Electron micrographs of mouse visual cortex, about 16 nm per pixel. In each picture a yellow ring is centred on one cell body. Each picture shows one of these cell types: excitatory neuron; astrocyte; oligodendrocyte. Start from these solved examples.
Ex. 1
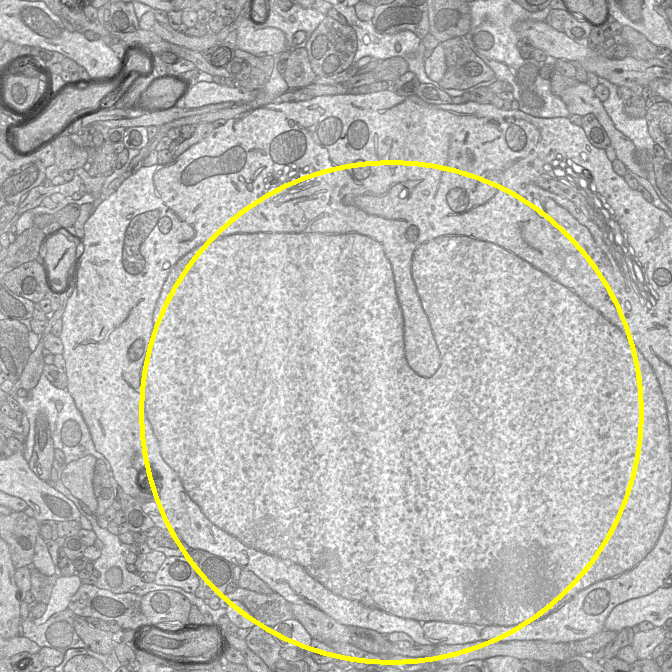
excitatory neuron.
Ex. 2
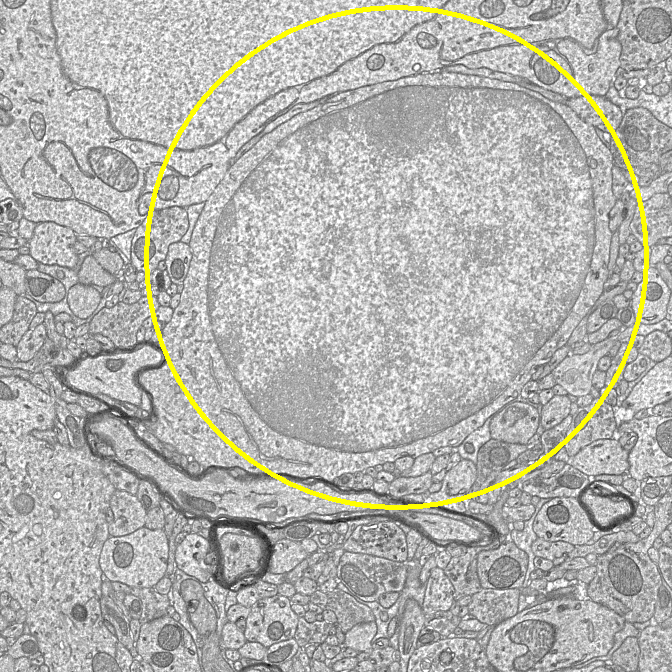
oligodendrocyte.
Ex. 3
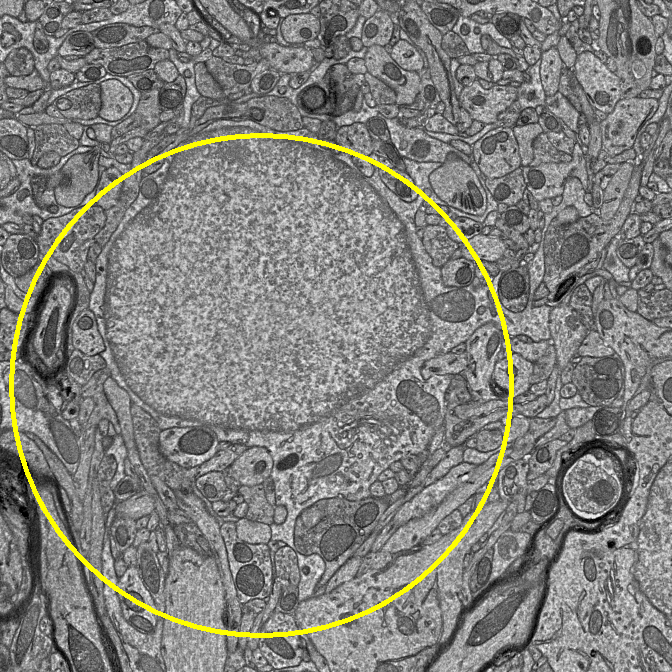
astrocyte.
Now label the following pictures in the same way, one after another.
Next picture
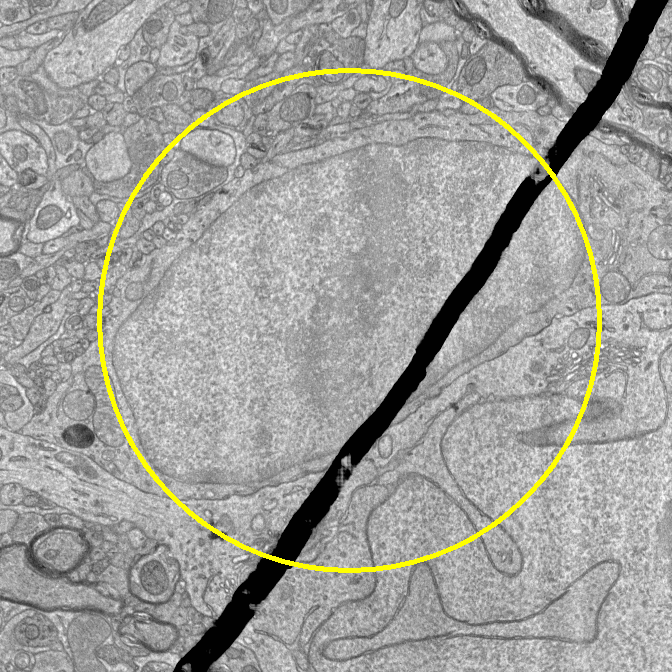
oligodendrocyte.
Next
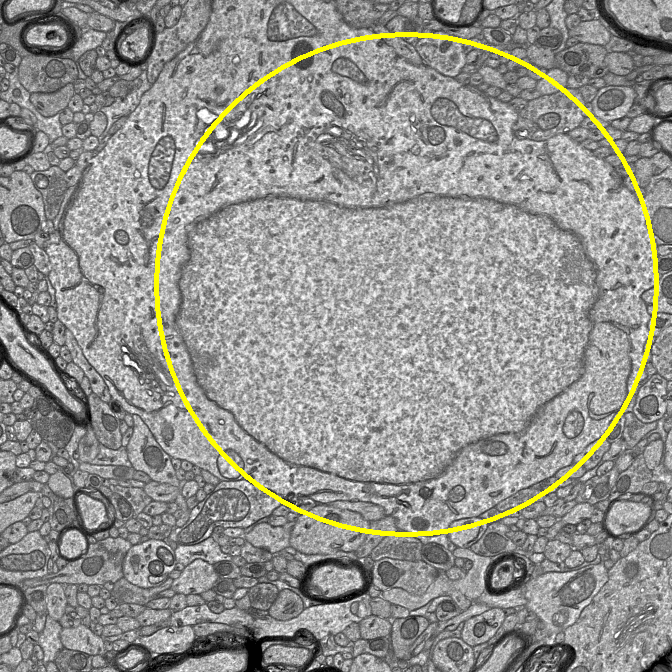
excitatory neuron.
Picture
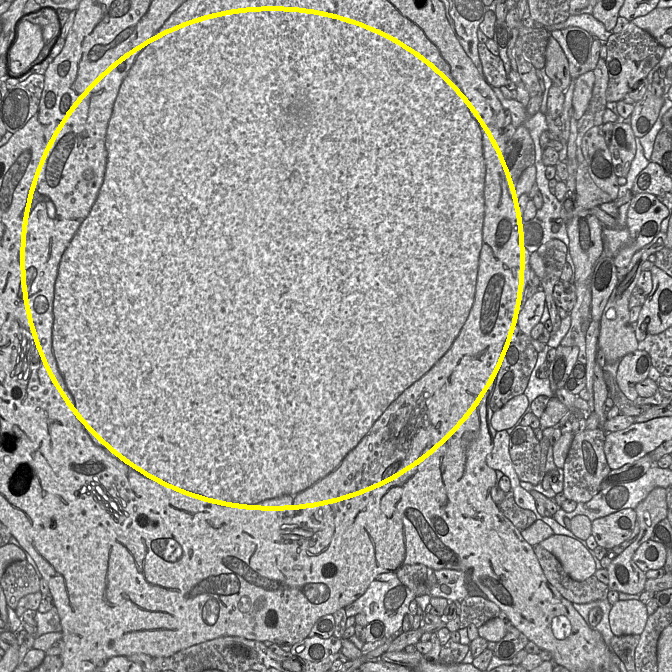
excitatory neuron.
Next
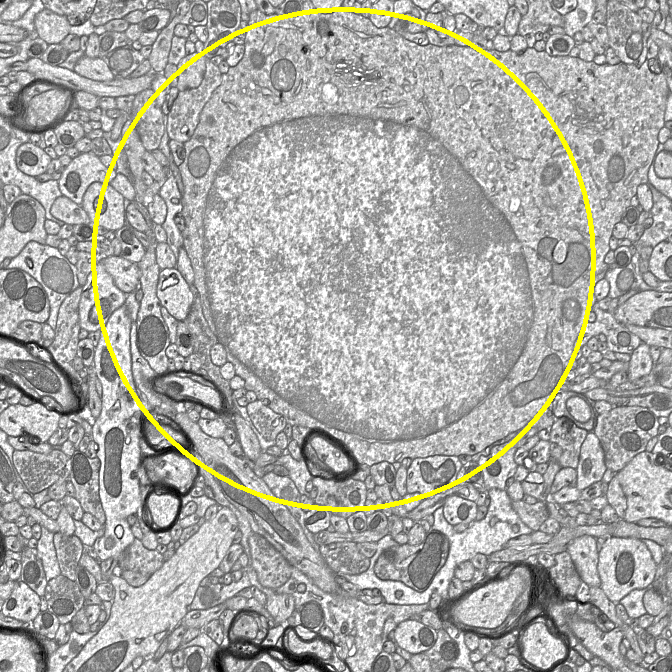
oligodendrocyte.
